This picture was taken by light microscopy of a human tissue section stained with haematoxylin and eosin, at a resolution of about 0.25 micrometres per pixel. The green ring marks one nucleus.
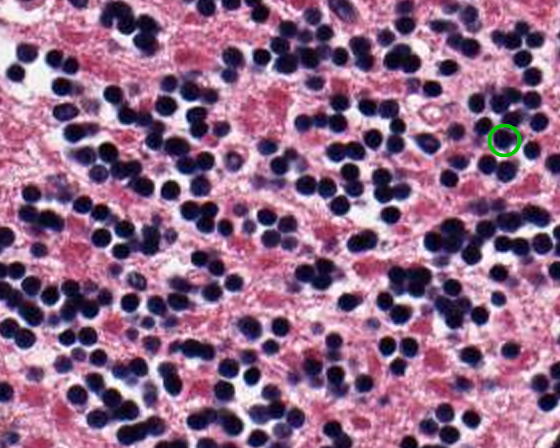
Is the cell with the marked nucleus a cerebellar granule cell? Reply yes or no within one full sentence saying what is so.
Yes, in the picture the marked nucleus belongs to a cerebellar granule cell.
